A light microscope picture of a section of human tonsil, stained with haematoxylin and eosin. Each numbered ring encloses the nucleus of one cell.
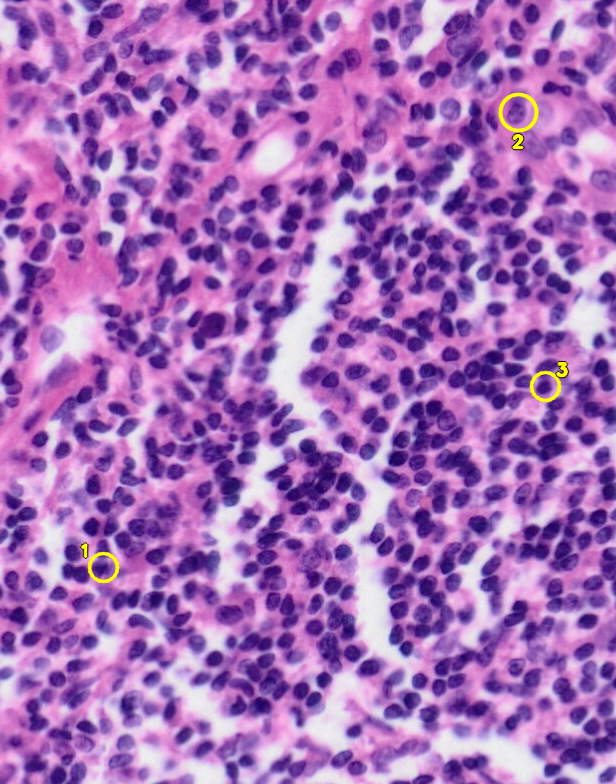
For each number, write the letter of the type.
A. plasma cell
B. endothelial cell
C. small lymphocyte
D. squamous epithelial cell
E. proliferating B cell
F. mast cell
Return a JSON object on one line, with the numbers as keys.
{"1": "C", "2": "B", "3": "C"}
